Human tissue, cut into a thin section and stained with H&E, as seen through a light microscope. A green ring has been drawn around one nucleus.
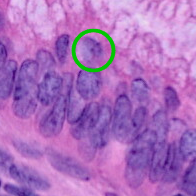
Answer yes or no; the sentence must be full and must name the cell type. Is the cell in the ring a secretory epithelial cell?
Yes, a secretory epithelial cell is what the cell in the ring represents in this tissue.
